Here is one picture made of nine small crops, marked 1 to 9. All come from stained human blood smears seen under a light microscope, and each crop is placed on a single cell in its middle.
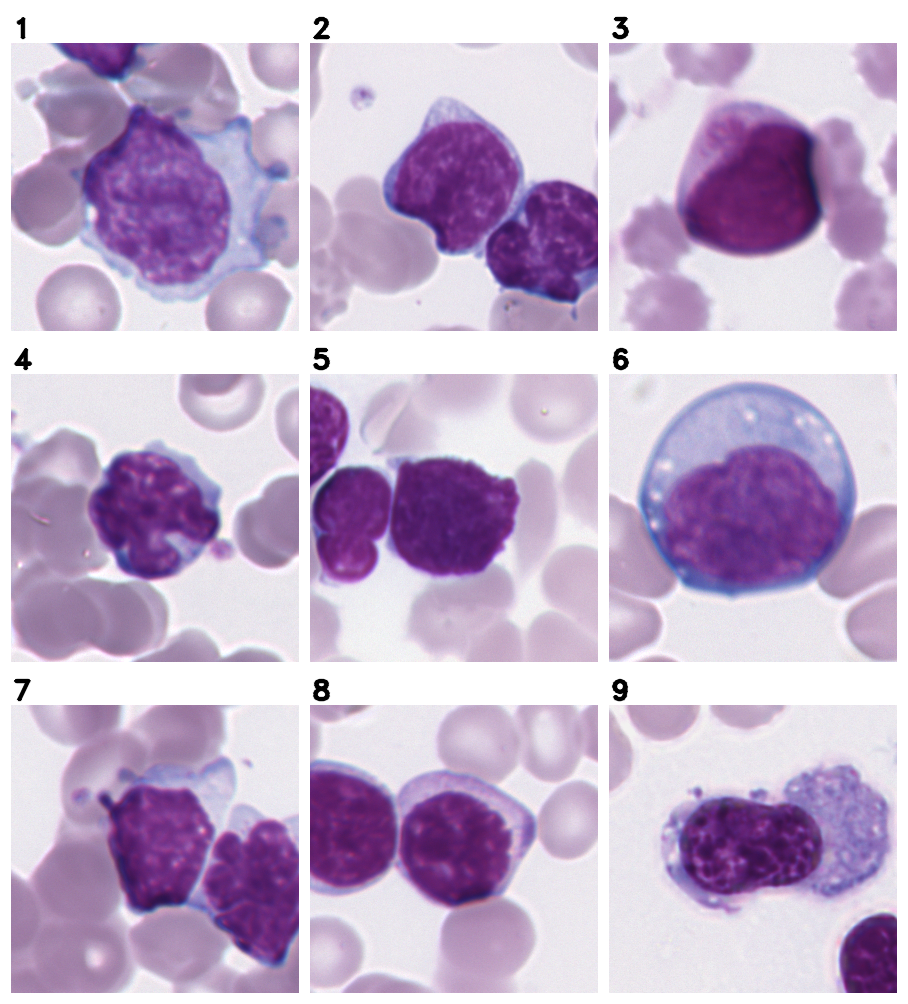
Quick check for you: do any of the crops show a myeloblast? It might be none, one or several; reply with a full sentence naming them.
The central cells are myeloblasts in crops 1, 3, 5 and 6.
